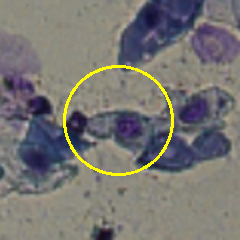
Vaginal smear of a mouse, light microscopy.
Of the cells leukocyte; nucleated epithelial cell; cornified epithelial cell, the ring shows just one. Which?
The ring shows a nucleated epithelial cell.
